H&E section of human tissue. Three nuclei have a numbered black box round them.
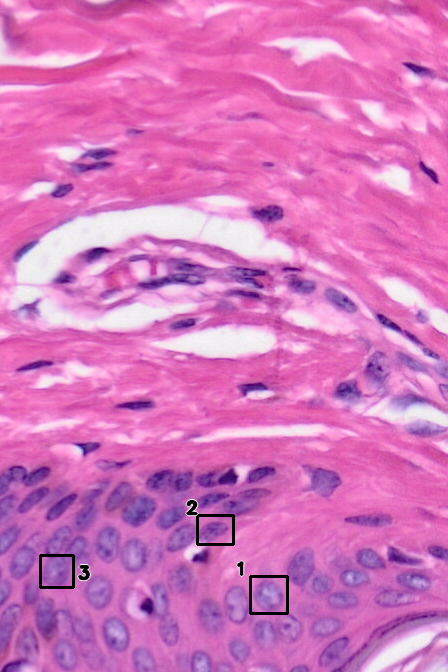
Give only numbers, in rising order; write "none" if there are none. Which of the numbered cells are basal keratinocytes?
1, 2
